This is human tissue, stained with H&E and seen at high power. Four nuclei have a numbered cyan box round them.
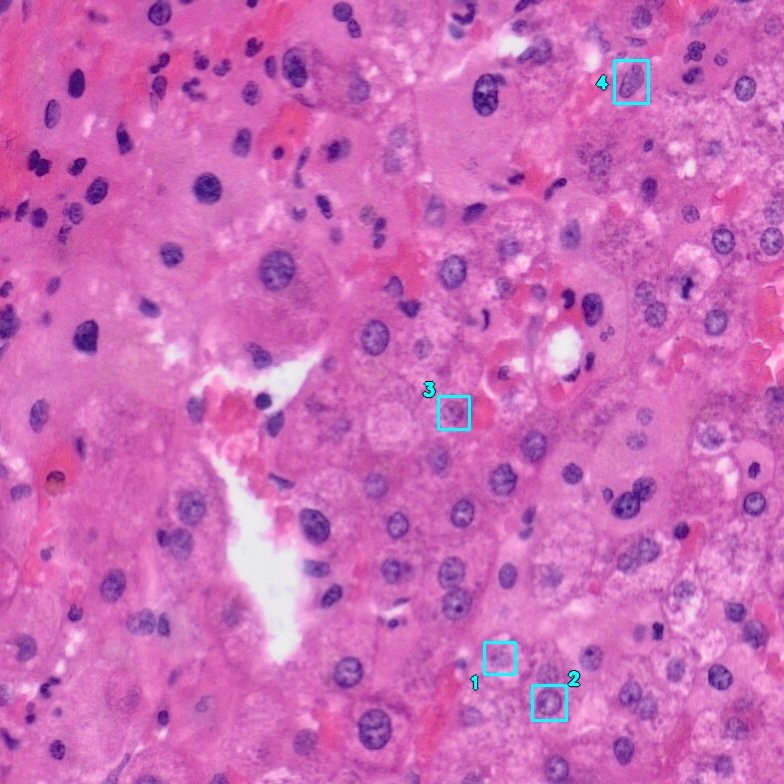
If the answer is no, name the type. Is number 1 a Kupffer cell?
No, it is a hepatocyte.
